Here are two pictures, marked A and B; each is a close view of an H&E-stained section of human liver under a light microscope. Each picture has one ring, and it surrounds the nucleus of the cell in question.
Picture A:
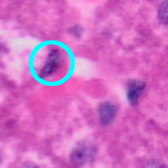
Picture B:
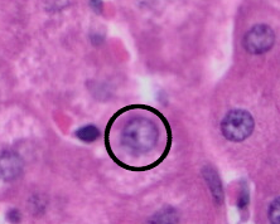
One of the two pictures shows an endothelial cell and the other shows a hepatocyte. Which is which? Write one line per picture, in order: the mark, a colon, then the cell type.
A: endothelial cell
B: hepatocyte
